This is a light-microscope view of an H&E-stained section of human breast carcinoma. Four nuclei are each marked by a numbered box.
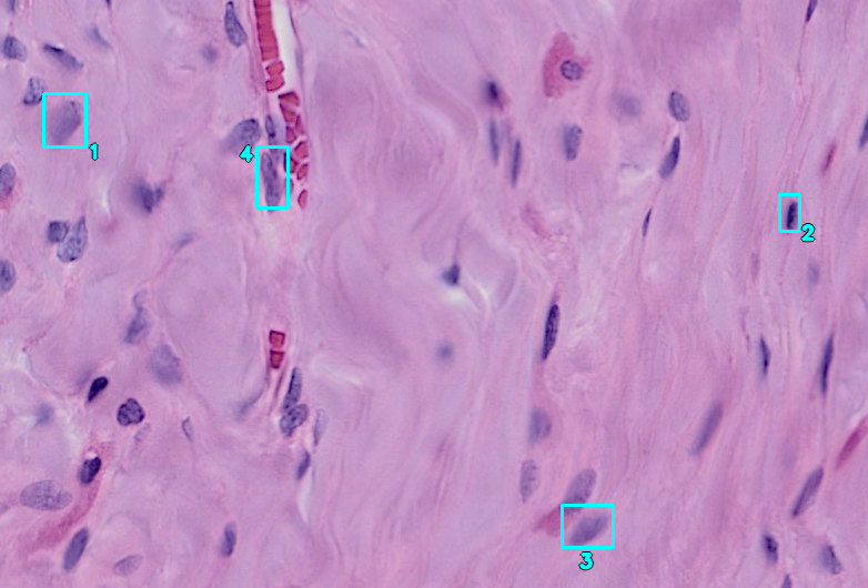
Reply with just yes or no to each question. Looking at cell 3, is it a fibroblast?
yes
